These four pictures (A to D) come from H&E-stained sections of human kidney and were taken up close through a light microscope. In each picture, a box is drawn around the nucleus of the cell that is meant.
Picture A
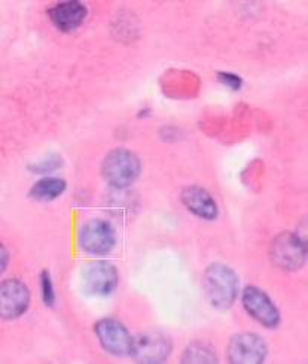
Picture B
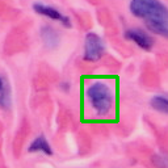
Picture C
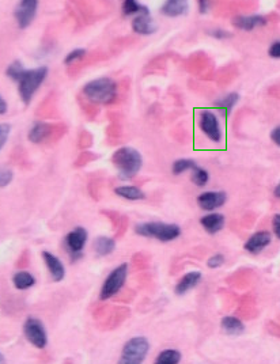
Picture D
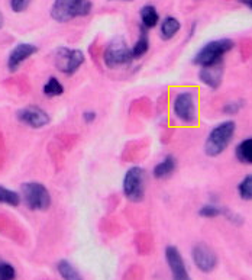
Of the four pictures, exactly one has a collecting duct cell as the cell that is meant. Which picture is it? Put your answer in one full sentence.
It is picture A that shows the collecting duct cell.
